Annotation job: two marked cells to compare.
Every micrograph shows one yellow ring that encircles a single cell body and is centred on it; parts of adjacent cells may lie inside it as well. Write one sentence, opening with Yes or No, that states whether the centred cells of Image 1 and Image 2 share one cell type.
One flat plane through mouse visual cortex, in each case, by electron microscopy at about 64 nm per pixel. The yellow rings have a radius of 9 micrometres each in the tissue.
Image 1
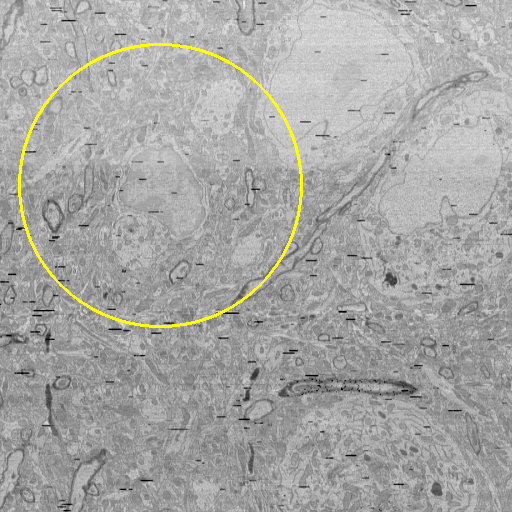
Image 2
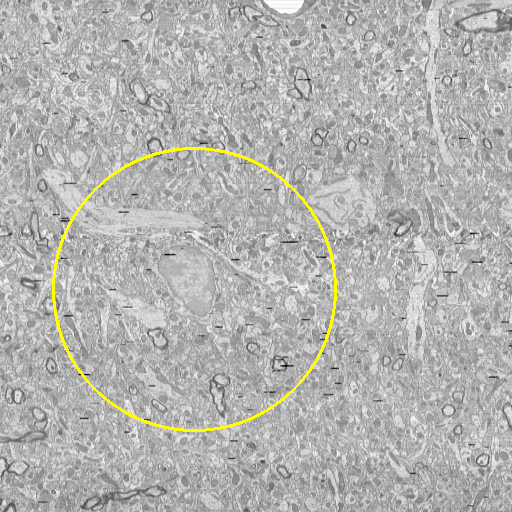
Yes, the cell centred in Image 1 shares its type with the cell centred in Image 2.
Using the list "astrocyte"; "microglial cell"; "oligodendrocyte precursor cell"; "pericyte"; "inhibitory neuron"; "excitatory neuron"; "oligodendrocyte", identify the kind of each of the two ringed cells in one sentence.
The ring centre holds a microglial cell in each of the two pictures.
